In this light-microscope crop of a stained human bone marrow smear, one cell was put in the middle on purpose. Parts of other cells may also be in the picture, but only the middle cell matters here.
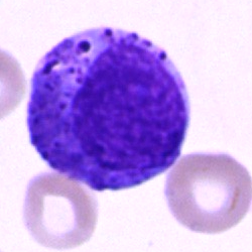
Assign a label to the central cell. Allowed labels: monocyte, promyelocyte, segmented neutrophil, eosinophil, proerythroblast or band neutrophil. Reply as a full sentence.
At the center of the crop sits a promyelocyte.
